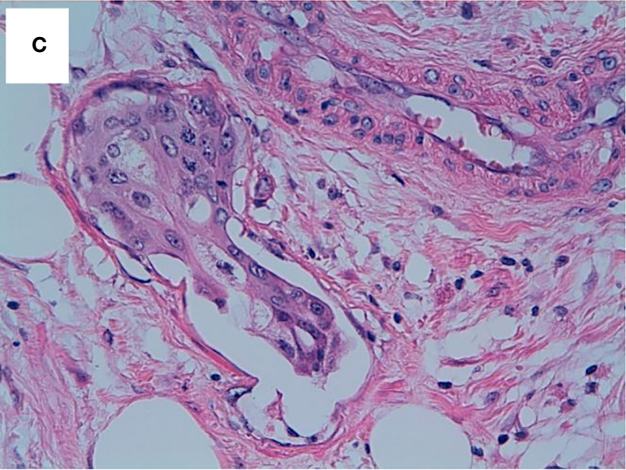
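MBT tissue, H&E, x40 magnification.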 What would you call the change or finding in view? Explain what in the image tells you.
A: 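A cluster of large atypical cells with prominent nucleoli sits inside a thin-walled lumen. The lumen is lined by flat, thin cells. Loose stroma with fat spaces surrounds the vessel. That points to this answer: Linfovascular invasion.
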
